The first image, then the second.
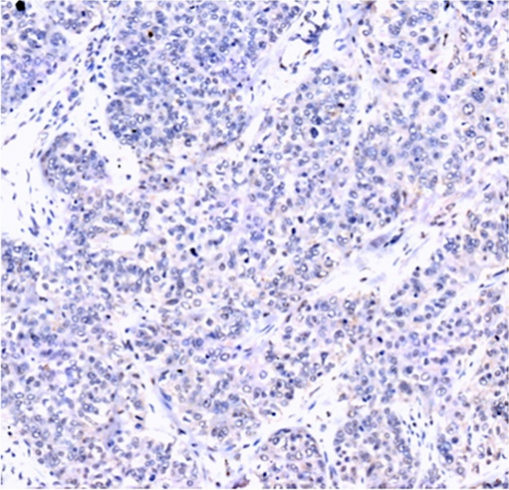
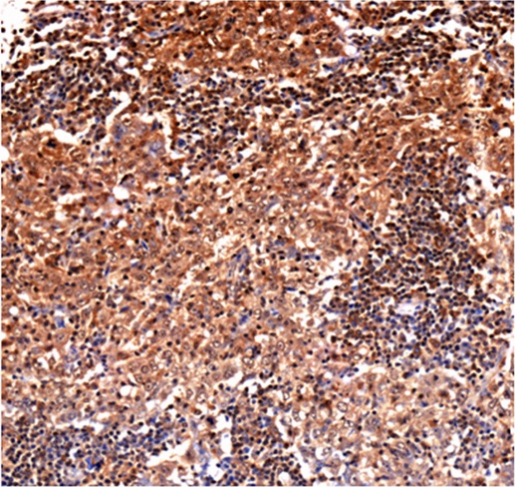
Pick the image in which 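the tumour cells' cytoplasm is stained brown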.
The second image.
